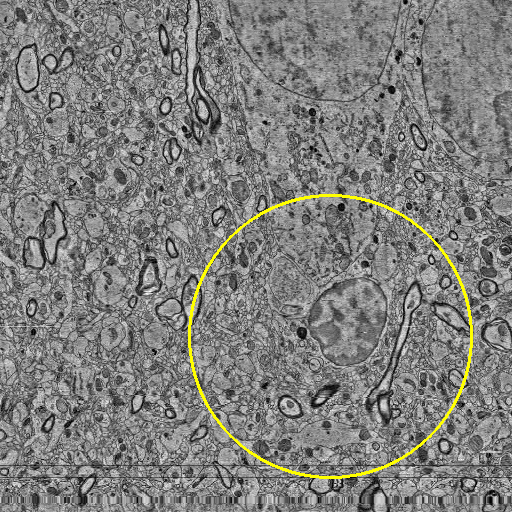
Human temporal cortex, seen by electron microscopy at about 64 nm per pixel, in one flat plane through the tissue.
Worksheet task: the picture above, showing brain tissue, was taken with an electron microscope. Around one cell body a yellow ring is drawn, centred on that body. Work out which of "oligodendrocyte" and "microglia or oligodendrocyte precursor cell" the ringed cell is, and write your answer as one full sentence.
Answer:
It is a microglial cell or oligodendrocyte precursor cell whose cell body lies at the centre of the yellow ring.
